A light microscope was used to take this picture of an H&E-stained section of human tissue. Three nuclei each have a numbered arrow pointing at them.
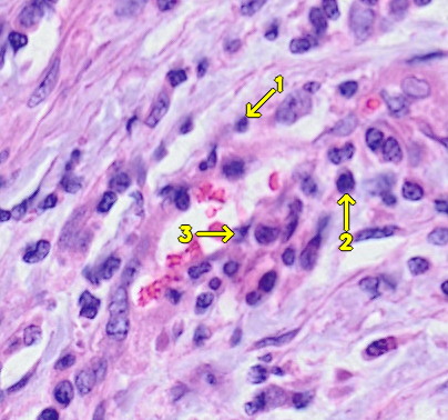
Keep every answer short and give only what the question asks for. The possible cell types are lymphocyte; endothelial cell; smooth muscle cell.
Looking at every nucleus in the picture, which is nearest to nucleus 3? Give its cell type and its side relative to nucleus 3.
a lymphocyte, to the right of nucleus 3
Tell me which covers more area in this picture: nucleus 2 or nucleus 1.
2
